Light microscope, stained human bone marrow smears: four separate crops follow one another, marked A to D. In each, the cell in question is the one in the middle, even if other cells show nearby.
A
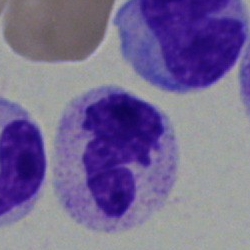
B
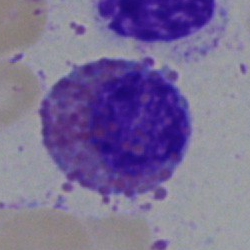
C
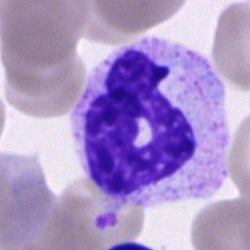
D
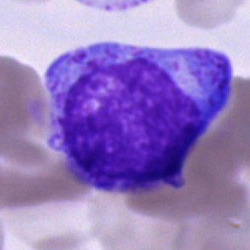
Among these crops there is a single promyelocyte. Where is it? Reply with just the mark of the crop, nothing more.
D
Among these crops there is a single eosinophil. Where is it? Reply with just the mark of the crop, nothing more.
B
